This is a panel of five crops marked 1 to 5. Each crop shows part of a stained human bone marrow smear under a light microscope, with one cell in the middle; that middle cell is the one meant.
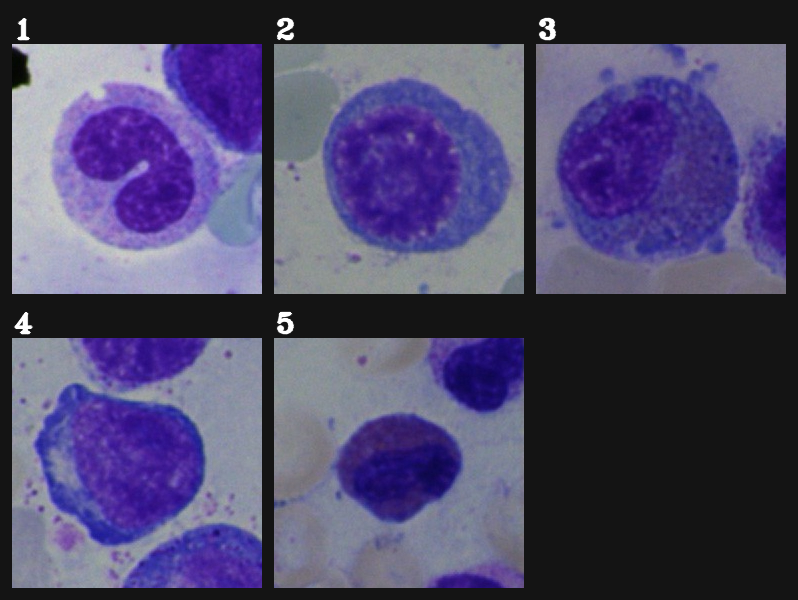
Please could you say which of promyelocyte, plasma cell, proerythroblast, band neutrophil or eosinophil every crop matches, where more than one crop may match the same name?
1: band neutrophil
2: plasma cell
3: eosinophil
4: proerythroblast
5: eosinophil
